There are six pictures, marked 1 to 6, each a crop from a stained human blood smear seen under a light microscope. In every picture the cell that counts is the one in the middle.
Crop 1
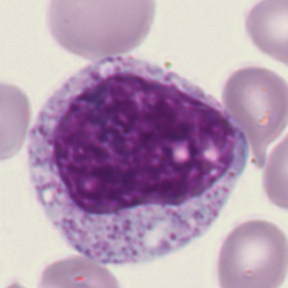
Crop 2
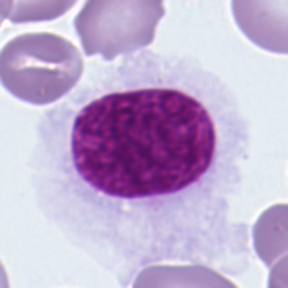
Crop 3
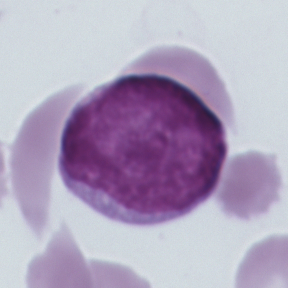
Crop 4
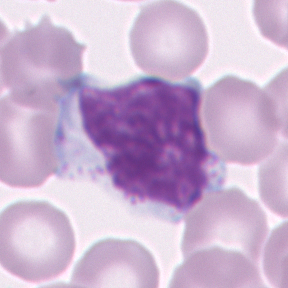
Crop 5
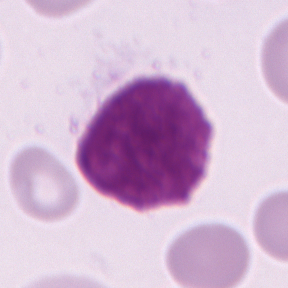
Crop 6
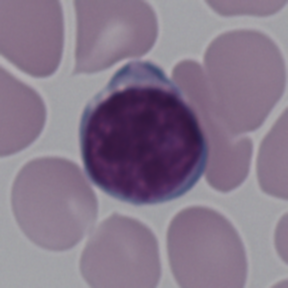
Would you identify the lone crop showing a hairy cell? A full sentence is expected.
Crop 2 is the crop whose central cell is a hairy cell.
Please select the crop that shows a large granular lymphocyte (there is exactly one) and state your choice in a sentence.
Here the crop that shows a large granular lymphocyte is crop 4.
